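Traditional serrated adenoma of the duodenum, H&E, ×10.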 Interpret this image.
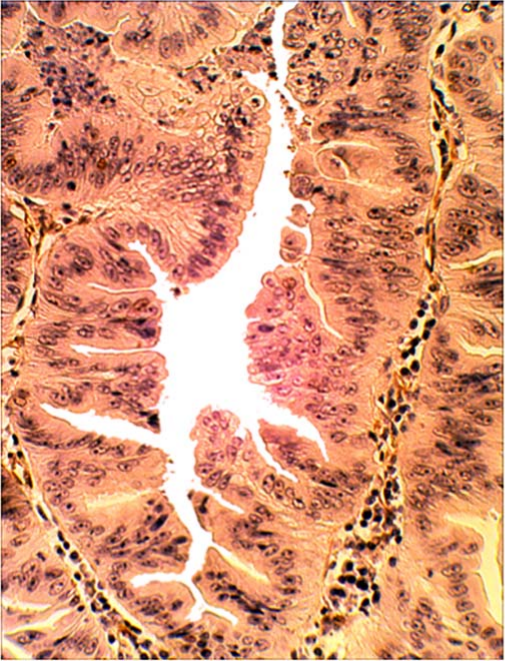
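The epithelial cells have eosinophilic cytoplasm and enlarged, oval nuclei that are crowded and stacked at different heights instead of sitting in one basal row. Many nuclei are vesicular with visible nucleoli. Between neighbouring crypts run thin strands of stroma holding small dark round cells. These nuclear changes are those of high-grade dysplasia.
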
